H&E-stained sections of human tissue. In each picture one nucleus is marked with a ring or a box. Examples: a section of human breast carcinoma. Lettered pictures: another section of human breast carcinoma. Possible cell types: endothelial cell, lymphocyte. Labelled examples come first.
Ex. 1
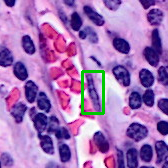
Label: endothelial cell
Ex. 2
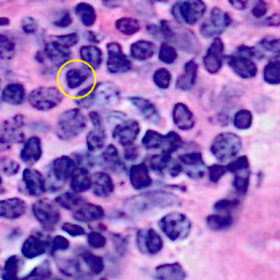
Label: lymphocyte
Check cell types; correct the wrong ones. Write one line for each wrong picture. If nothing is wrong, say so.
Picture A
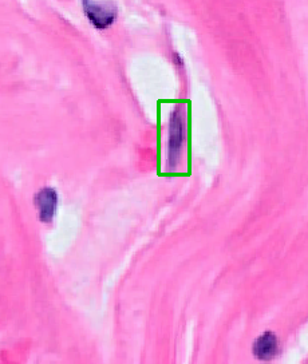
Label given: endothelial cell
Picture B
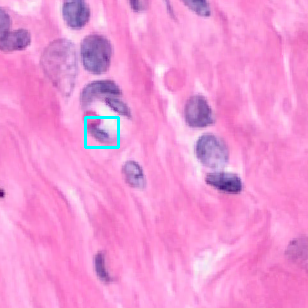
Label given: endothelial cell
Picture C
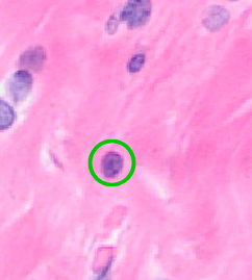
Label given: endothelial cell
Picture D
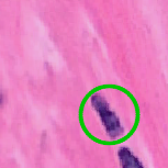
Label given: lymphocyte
C: lymphocyte, not endothelial cell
